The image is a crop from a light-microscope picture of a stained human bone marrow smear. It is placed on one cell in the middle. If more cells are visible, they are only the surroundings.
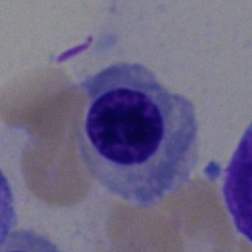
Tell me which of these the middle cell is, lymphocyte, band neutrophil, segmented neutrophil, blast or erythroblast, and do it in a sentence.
This crop has an erythroblast at its centre.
